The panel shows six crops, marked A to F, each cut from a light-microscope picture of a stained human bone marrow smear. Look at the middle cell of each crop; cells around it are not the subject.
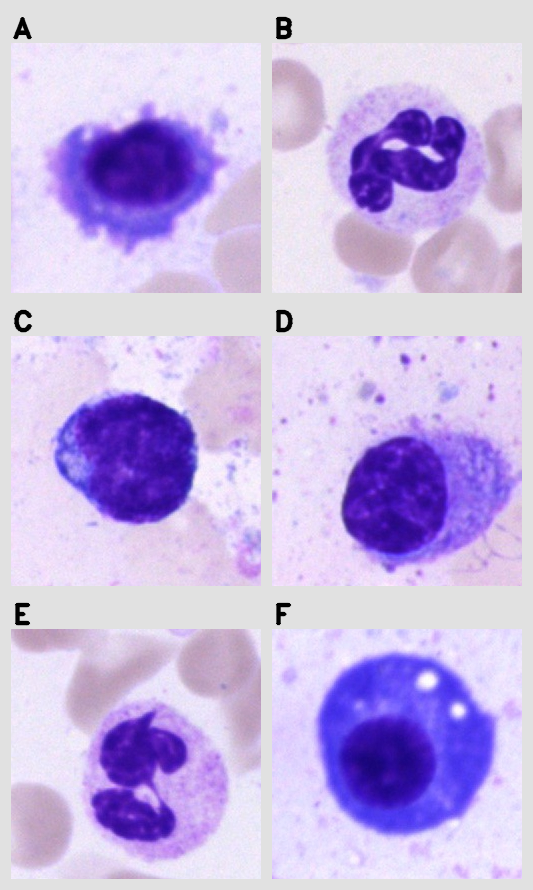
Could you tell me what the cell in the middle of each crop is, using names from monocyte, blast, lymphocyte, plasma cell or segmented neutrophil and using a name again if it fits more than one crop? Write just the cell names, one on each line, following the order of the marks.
plasma cell
segmented neutrophil
blast
plasma cell
segmented neutrophil
plasma cell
